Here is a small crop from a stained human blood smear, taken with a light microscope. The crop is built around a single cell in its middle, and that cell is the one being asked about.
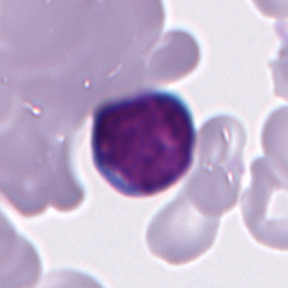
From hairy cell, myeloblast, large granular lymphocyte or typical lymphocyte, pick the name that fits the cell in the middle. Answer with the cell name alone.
typical lymphocyte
